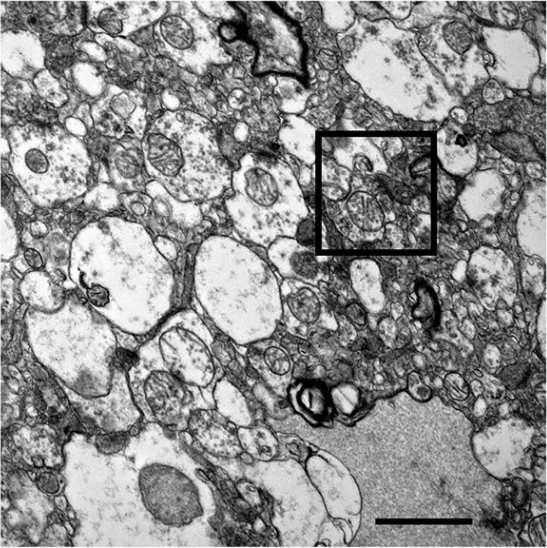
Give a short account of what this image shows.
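A dense field of tightly packed membrane-bound profiles of many sizes fills the image. Some are pale and round, others are darker and hold mitochondria with cristae and small vesicles, and scattered dark rings of myelin appear among them. This is neuropil seen by electron microscopy, a tangle of neuronal and glial processes with synaptic terminals among them.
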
